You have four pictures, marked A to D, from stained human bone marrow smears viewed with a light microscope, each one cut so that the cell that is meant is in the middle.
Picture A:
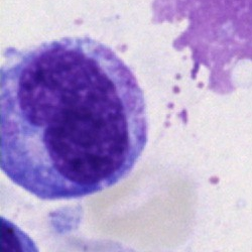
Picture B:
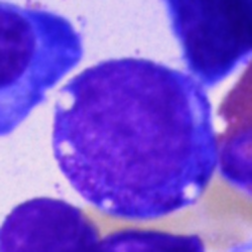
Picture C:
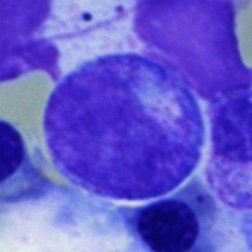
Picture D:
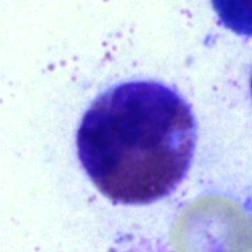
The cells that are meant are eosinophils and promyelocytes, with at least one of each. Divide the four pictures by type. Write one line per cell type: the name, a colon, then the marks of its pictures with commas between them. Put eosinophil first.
eosinophil: D
promyelocyte: A, B, C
